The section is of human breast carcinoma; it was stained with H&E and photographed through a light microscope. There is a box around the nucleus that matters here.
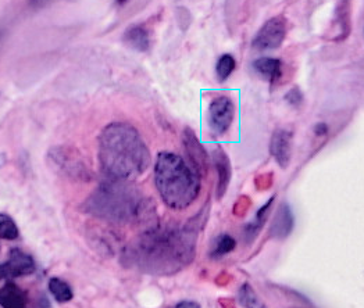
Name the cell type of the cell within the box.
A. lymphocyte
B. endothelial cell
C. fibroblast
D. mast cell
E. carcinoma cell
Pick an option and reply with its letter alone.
D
